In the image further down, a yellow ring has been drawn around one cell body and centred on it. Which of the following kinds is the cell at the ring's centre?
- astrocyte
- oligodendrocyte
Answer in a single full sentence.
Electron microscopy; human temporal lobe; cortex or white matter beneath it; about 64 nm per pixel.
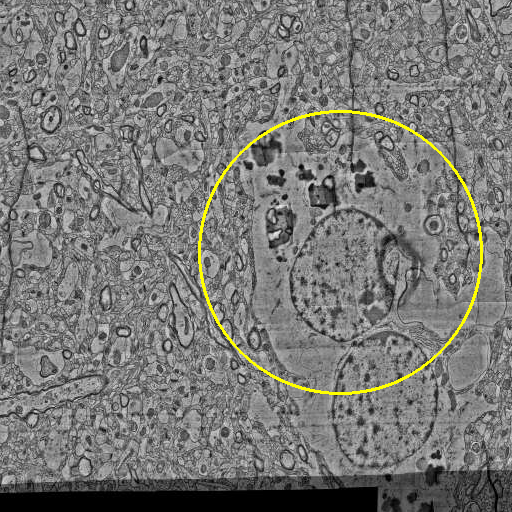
In the picture, the cell sitting at the centre of the yellow ring is an astrocyte.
